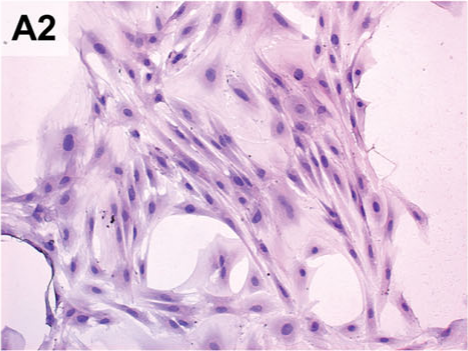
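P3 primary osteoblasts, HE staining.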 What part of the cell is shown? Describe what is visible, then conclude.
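Cells are spindle-shaped or polygonal with extended tapering processes. Processes of neighbouring cells touch and join, forming a network. The answer: protrusions.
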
